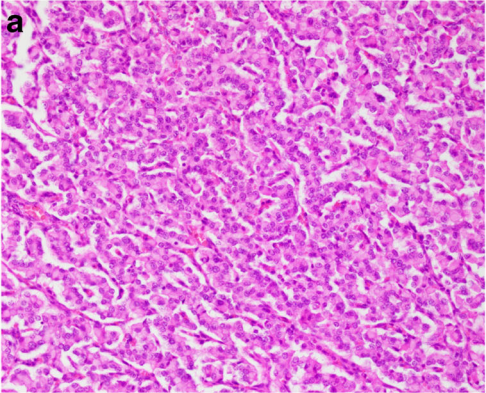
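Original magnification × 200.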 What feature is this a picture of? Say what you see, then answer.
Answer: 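Cells lie in narrow, branching strands one to few cells thick. Thin slit-like spaces separate the strands.
Conclusion: cord fashion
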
